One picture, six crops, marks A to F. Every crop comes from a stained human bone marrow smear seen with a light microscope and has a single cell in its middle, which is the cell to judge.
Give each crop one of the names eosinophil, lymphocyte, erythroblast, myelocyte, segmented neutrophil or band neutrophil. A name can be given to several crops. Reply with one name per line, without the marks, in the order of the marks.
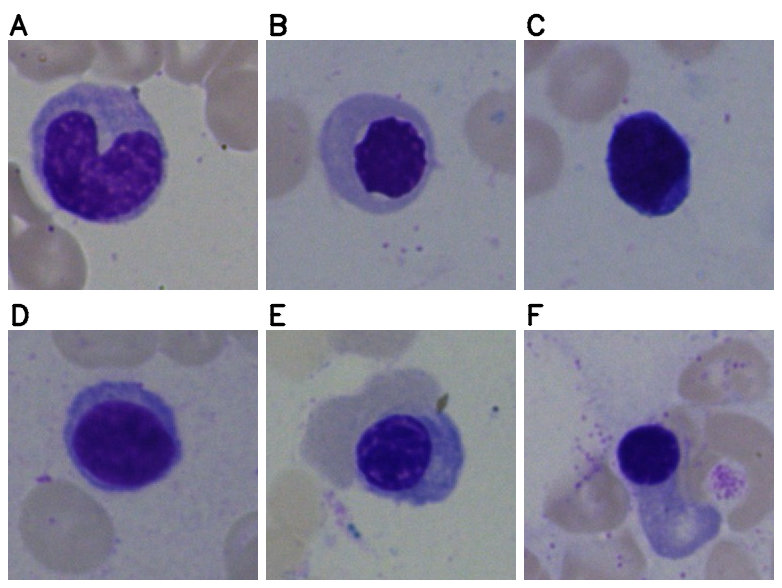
band neutrophil
erythroblast
lymphocyte
lymphocyte
erythroblast
erythroblast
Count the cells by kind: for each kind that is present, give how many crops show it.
erythroblast: 3
lymphocyte: 2
band neutrophil: 1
